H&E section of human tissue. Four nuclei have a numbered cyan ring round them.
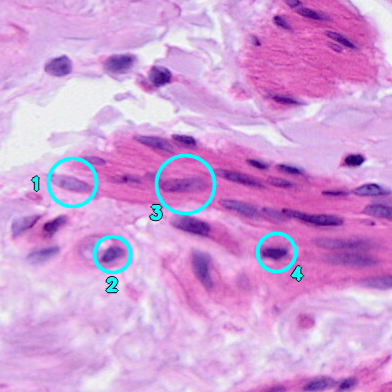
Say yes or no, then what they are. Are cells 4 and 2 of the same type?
No, an endothelial cell is what cell 2 is, while cell 4 is a smooth muscle cell.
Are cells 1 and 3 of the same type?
Yes, cells 1 and 3 both belong to the category of smooth muscle cells.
